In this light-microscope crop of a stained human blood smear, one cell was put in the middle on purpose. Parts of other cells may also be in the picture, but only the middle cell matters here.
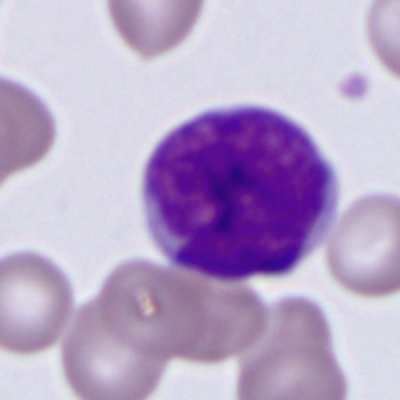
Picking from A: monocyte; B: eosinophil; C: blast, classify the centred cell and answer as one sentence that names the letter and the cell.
According to option C, which is correct, the cell in the middle is a blast.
